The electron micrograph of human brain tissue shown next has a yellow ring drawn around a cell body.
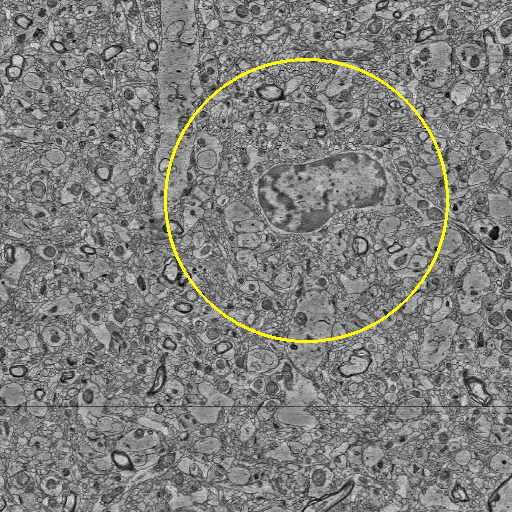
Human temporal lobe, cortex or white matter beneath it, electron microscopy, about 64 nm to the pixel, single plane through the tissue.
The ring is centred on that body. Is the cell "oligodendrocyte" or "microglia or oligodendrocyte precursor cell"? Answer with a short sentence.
The cell in question is a microglial cell or oligodendrocyte precursor cell.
